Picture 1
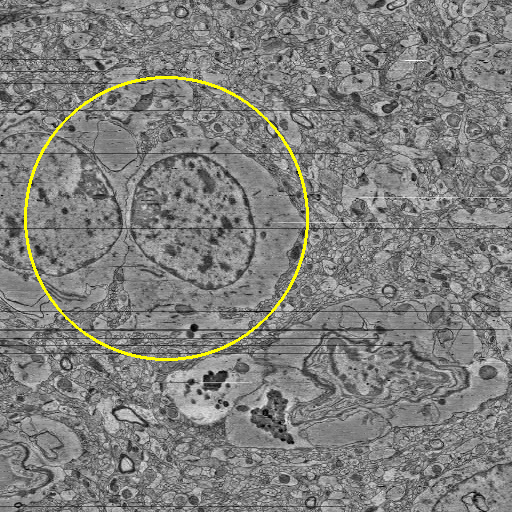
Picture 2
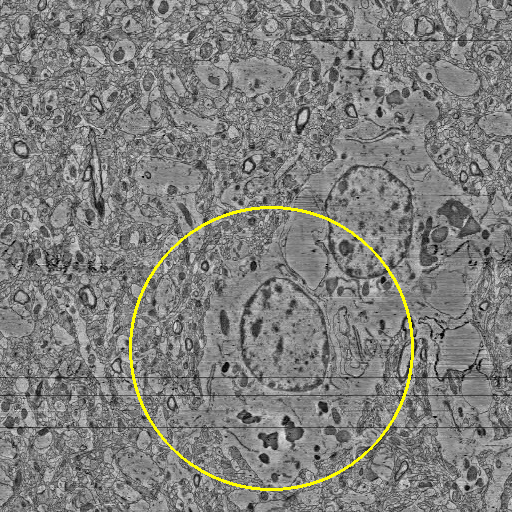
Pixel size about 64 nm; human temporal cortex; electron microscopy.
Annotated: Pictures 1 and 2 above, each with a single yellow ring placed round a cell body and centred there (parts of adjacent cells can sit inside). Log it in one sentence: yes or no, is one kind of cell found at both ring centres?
Yes, the ring centres of the two pictures hold cells of one kind.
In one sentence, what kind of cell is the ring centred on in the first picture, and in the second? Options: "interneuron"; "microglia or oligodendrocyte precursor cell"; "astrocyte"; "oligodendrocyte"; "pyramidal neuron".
The second cell is an astrocyte, just as the first is.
